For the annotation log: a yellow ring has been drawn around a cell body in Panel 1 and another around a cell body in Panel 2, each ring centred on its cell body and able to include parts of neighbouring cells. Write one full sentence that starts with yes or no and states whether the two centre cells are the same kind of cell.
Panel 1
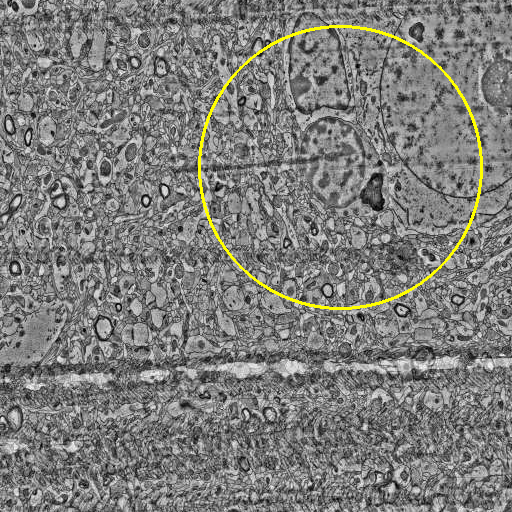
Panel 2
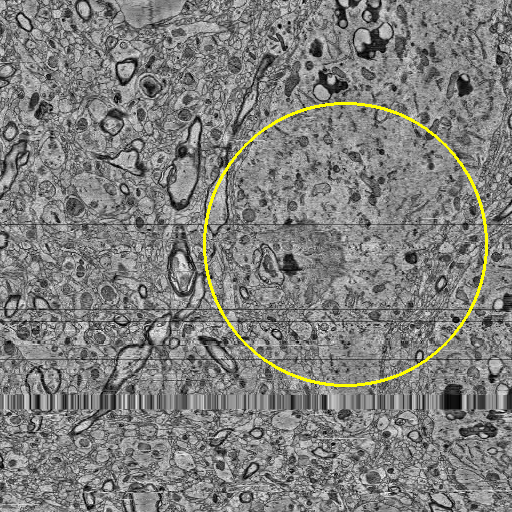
Yes, the two centre cells are the same kind of cell.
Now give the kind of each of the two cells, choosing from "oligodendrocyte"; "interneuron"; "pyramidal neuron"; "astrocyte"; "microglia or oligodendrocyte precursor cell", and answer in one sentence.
The first and the second cell are each an oligodendrocyte.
